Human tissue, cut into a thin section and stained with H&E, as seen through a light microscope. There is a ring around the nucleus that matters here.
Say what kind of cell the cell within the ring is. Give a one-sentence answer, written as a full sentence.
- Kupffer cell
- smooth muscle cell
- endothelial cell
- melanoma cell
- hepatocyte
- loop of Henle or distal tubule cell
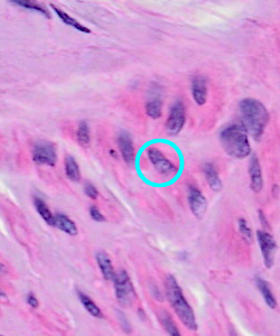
It is a smooth muscle cell that the cell within the ring represents.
